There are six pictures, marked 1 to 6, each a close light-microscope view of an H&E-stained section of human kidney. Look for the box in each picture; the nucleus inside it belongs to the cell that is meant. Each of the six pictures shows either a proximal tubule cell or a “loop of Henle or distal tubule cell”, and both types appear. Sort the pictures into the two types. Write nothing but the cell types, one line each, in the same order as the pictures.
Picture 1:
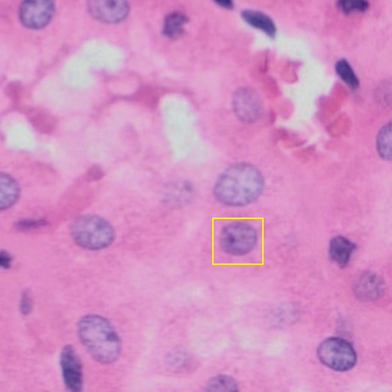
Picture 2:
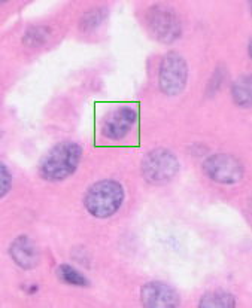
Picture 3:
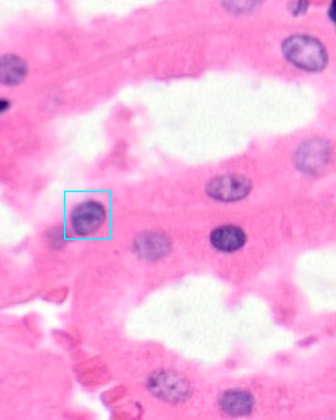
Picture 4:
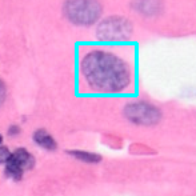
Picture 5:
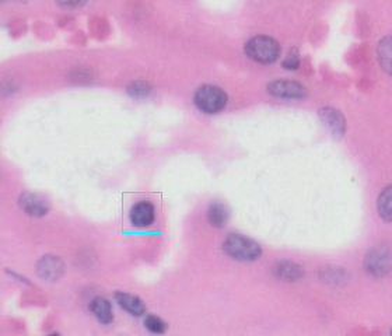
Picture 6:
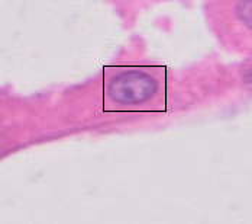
proximal tubule cell
loop of Henle or distal tubule cell
proximal tubule cell
loop of Henle or distal tubule cell
loop of Henle or distal tubule cell
proximal tubule cell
